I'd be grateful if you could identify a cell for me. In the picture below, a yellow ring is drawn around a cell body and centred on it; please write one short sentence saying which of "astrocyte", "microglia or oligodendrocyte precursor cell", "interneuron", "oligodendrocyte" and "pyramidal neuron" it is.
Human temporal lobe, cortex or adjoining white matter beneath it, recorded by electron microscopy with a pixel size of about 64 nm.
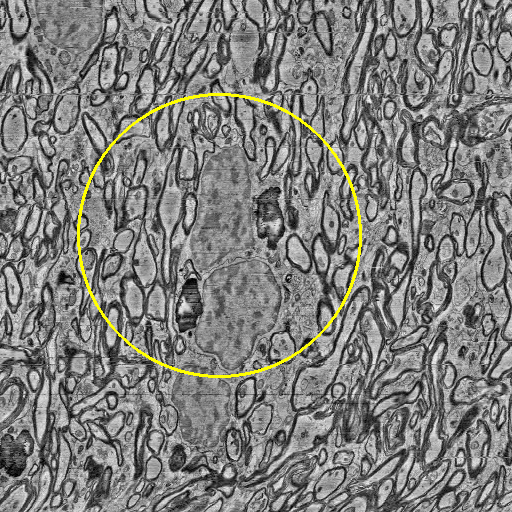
The cell under the ring's centre is an oligodendrocyte.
